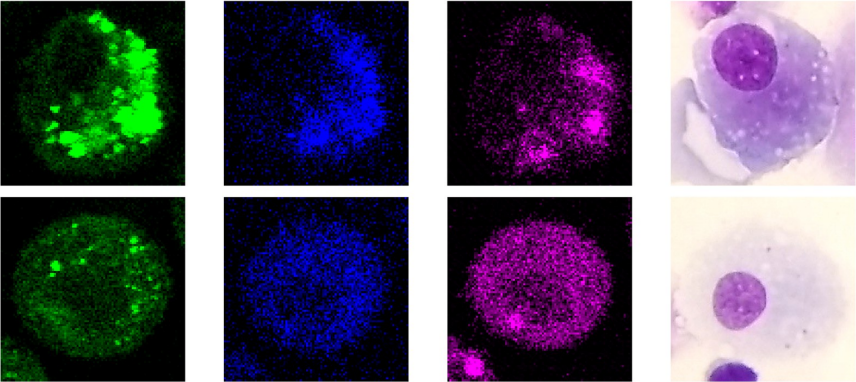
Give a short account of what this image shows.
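The upper cell holds many bright green granular inclusions clustered on one side, matched by denser blue and magenta regions. The lower cell shows only scattered green dots and a more even blue and magenta fill. A much smaller, darker cell lies at the lower edge of the lower stained view.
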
